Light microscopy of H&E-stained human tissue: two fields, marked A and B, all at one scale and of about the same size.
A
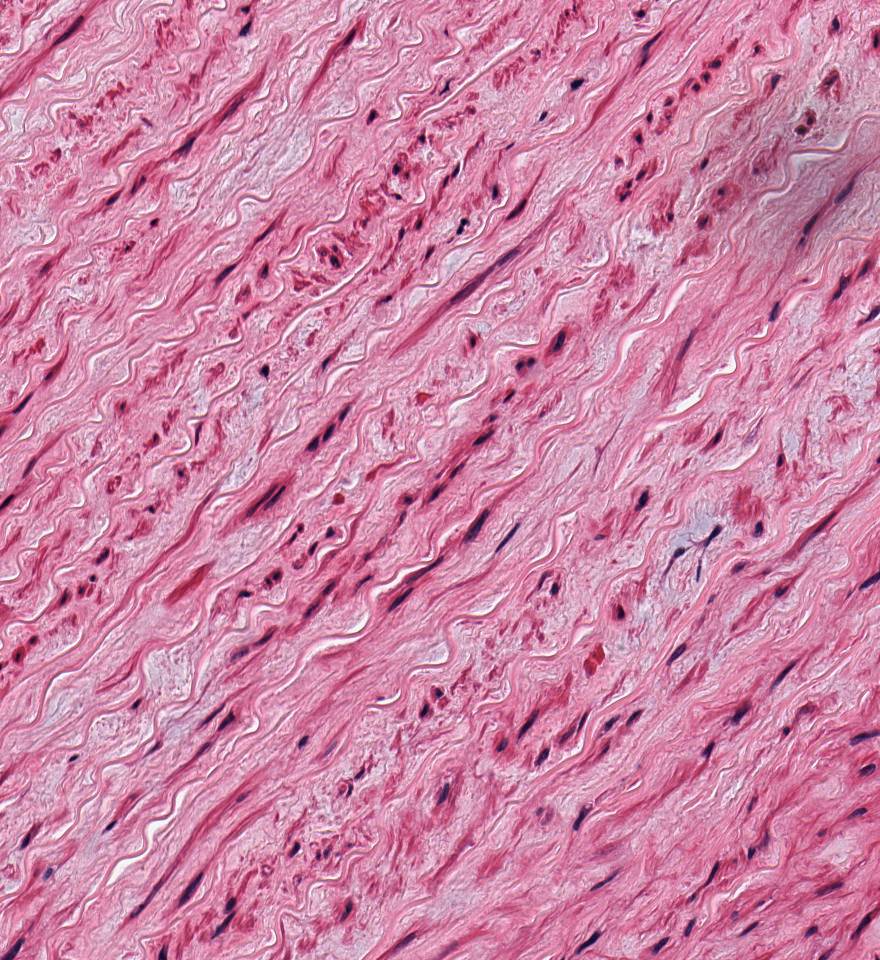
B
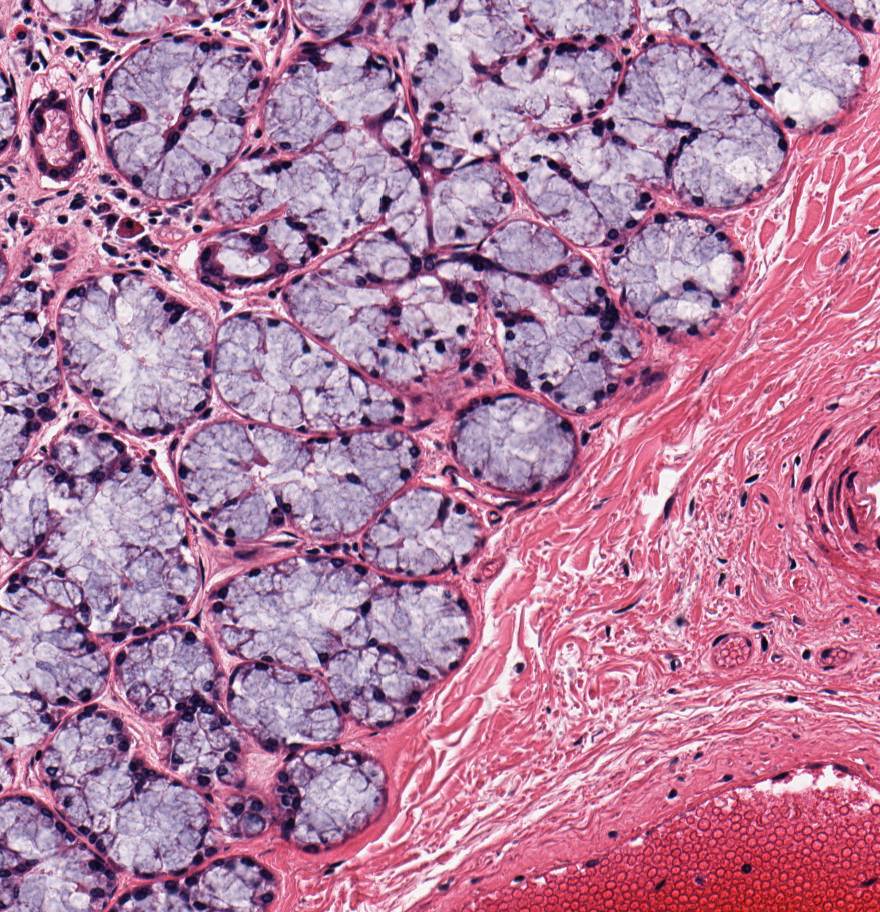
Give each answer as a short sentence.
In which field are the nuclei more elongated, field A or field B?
On the whole the nuclei of field A are more drawn out than those of field B.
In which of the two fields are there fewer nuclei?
It is field A that has fewer nuclei in it.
